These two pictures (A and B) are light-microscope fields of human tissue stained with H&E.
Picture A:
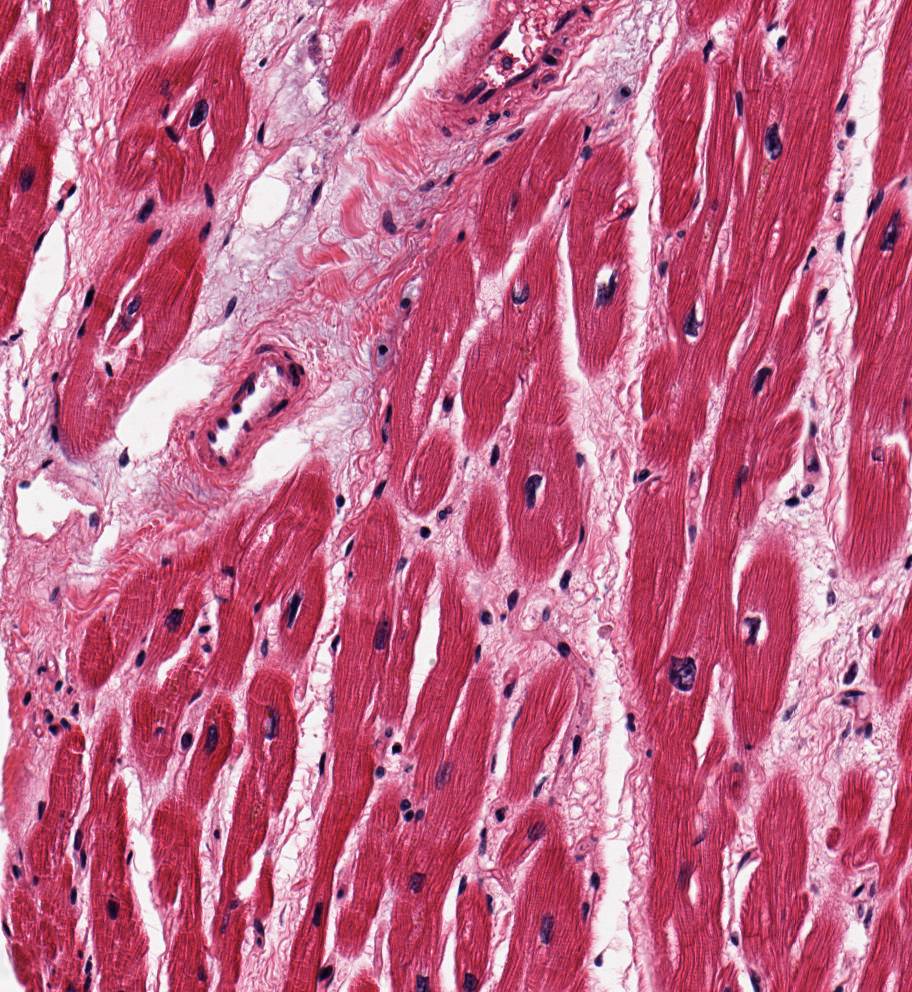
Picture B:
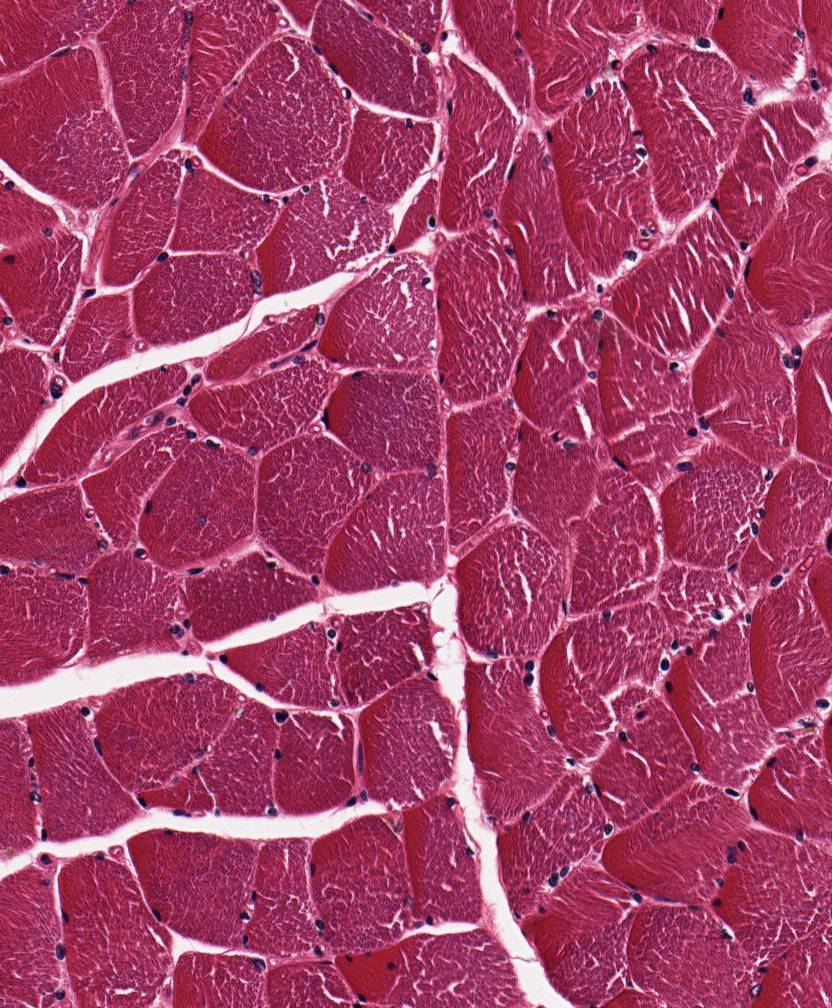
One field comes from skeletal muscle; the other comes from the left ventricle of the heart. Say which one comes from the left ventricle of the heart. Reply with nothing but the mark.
A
